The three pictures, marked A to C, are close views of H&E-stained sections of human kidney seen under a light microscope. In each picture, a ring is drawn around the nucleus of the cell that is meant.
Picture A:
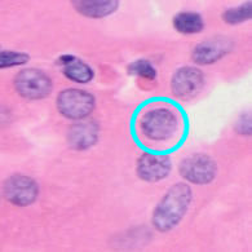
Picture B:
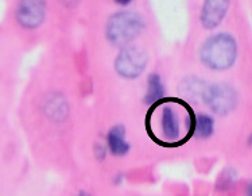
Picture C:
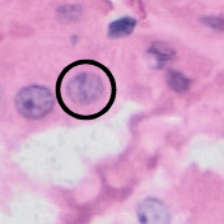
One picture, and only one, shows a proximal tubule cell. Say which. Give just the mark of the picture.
C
